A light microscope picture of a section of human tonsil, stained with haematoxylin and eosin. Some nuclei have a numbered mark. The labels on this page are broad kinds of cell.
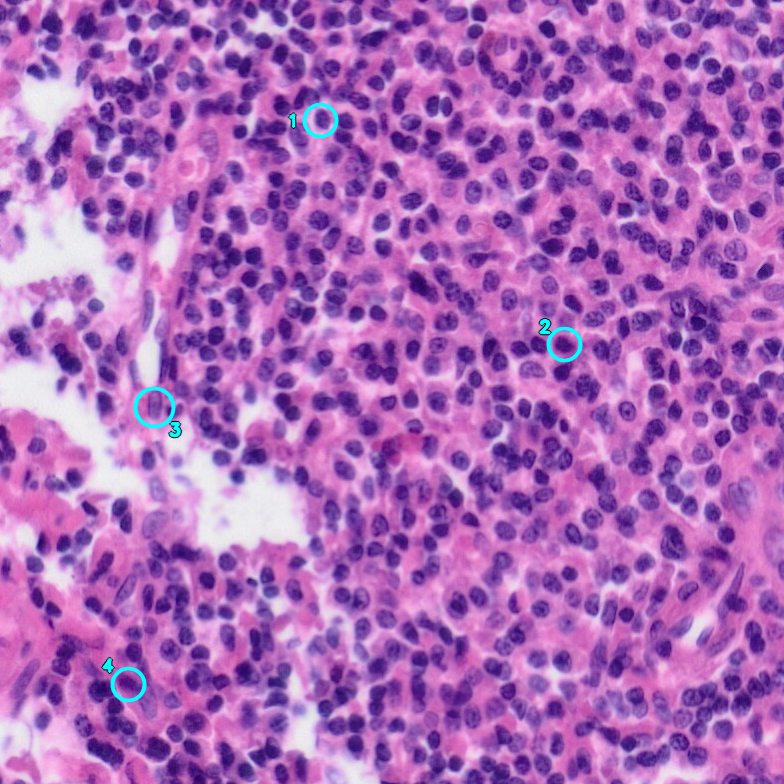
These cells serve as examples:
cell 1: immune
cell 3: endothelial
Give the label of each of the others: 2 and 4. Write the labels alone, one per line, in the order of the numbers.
immune
endothelial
